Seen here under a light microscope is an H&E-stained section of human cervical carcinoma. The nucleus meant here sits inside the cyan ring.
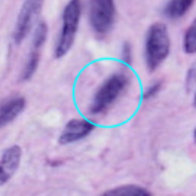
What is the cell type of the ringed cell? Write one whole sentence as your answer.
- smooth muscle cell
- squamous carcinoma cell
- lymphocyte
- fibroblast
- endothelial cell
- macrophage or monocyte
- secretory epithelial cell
Histopathologically, the ringed cell is a fibroblast.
